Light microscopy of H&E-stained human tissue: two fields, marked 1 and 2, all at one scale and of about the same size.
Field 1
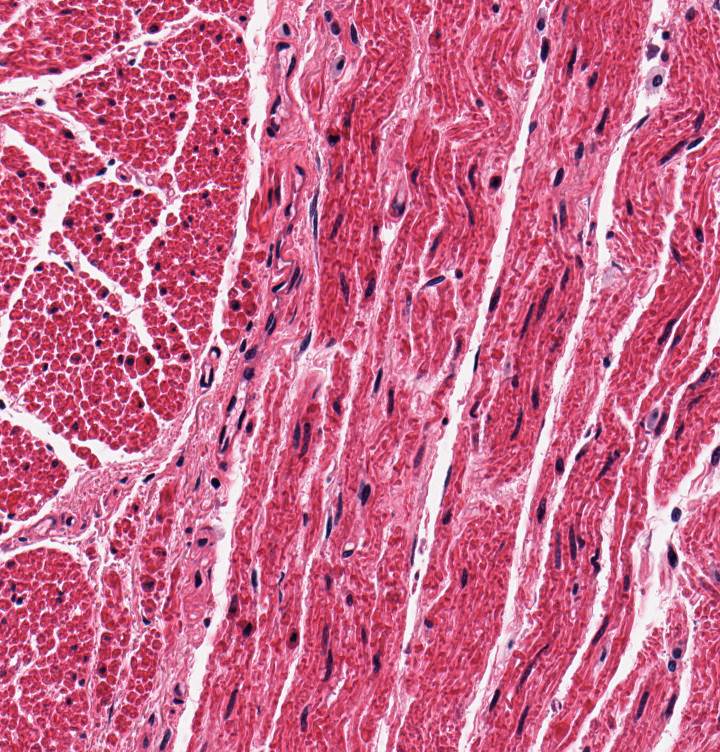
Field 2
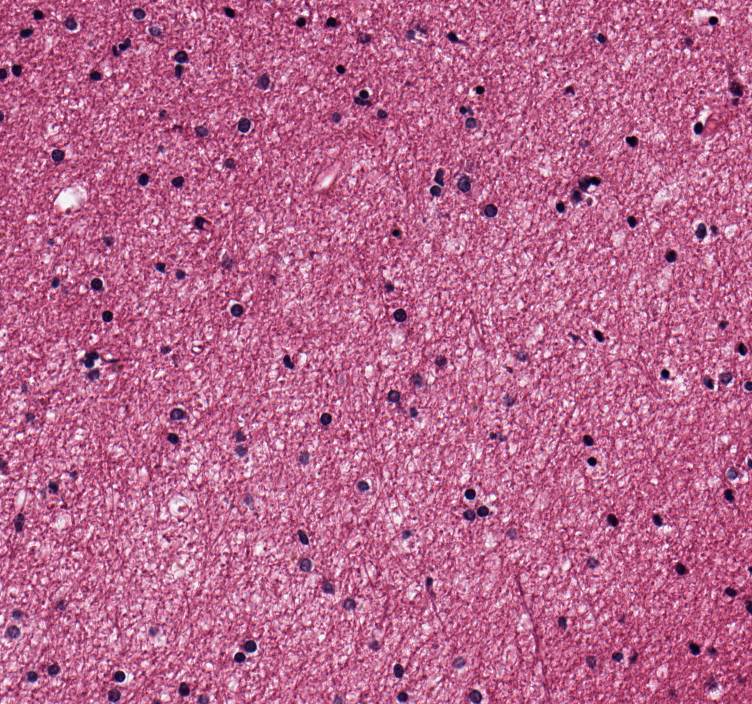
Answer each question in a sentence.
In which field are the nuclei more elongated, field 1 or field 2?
On the whole the nuclei of field 1 are more drawn out than those of field 2.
